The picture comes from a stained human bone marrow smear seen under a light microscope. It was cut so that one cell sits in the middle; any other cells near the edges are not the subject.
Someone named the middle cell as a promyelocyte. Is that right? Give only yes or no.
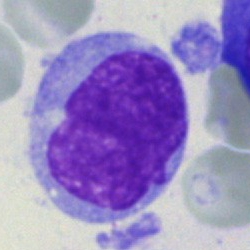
no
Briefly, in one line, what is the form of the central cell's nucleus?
The nucleus holds together as a single compact mass, round, oval or kidney-like.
